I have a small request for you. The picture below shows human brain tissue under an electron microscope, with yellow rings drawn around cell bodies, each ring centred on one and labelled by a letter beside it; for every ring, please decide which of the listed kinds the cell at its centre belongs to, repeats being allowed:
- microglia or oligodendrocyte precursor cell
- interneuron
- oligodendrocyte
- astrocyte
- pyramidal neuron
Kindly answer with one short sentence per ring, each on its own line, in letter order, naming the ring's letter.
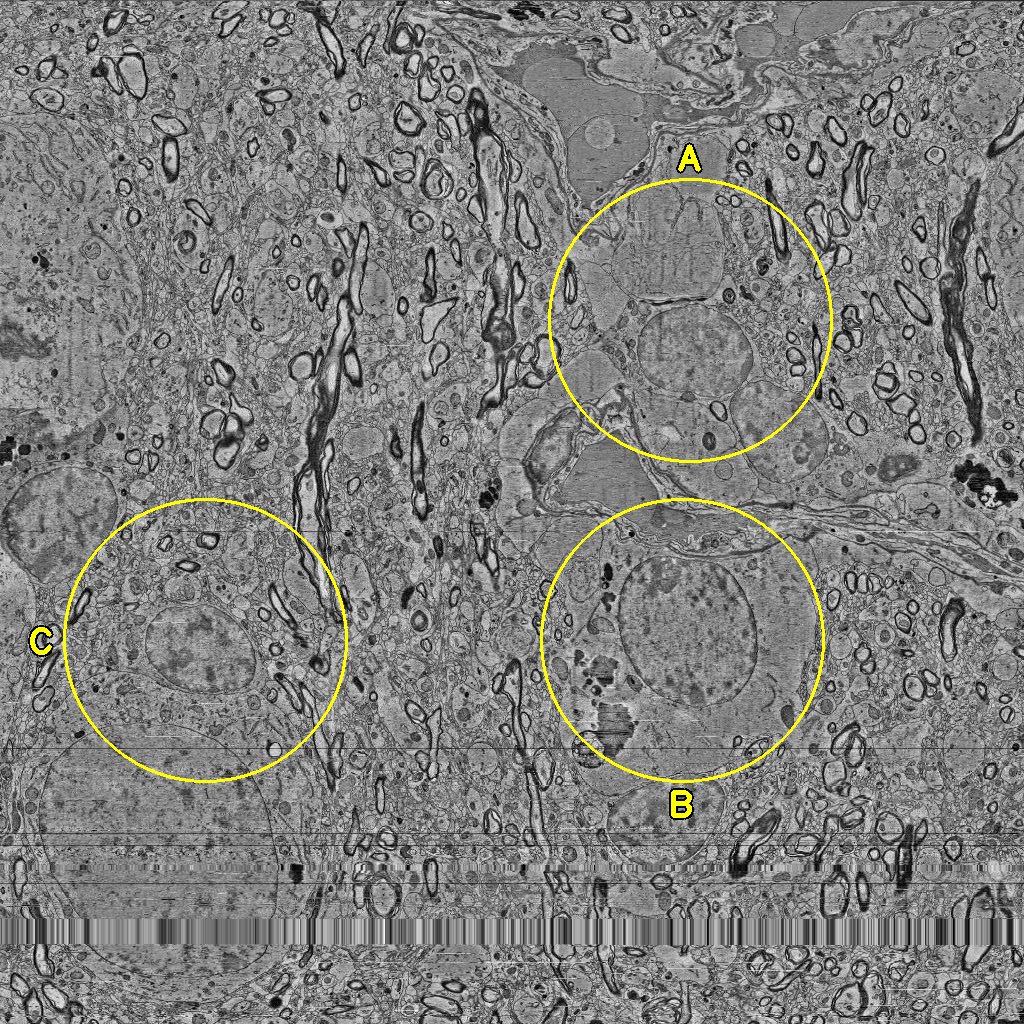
Ring A shows an oligodendrocyte at its centre.
Ring B shows an astrocyte at its centre.
Ring C shows an oligodendrocyte at its centre.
